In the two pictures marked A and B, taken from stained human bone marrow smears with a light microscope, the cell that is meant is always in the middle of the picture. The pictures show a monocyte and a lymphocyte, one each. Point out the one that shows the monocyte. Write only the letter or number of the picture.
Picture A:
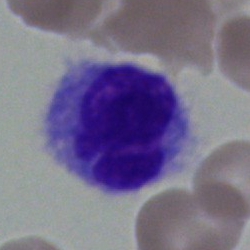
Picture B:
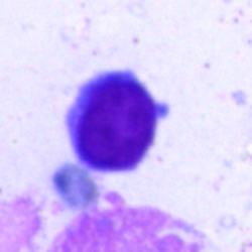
A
